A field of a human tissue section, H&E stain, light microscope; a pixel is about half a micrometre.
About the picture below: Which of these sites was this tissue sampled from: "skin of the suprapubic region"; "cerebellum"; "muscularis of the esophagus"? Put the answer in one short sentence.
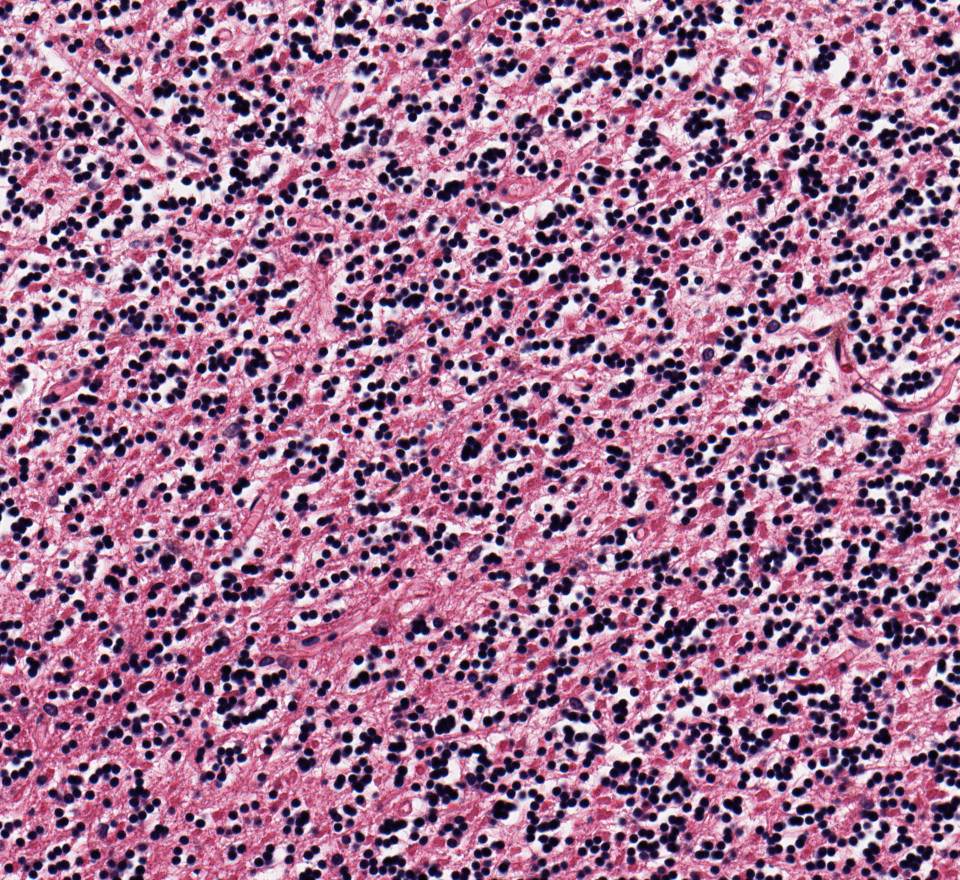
The site this tissue was sampled from is the cerebellum.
